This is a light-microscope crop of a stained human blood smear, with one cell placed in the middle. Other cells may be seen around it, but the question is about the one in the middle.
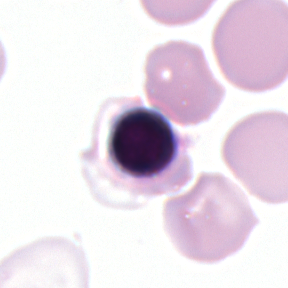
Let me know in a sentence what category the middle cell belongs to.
Where the crop is centred, there is an erythroblast.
